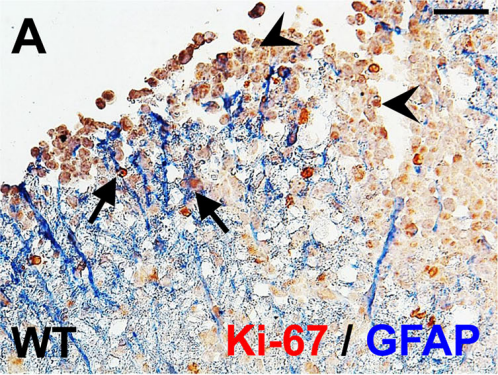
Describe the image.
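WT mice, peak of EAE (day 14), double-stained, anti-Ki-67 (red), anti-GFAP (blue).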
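This is spinal cord white matter with an inflammatory infiltrate at its edge and astrocytes beneath it. Along the top and upper right, many rounded cells are crowded together, most with red-brown stained nuclei, forming a dense cellular mass without fibrous processes. Below it, long blue fibrous processes run through the pale, finely vacuolated tissue, and some of the cells lying on these processes have red-brown nuclei. The astrocytes with stained nuclei are concentrated close to the crowded infiltrate.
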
